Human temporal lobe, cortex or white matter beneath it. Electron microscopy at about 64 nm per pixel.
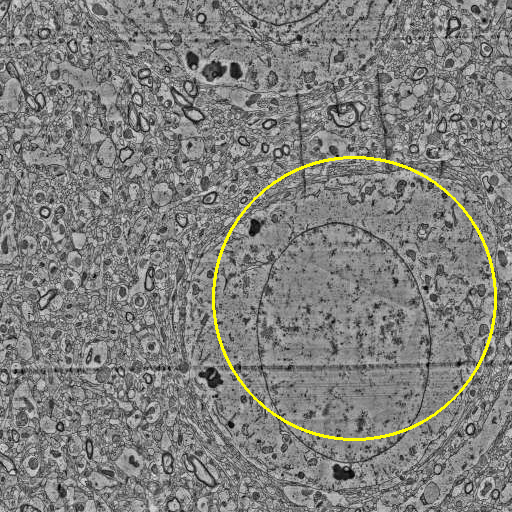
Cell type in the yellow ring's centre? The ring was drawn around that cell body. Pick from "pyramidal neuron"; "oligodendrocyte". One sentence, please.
The ringed cell body is that of a pyramidal neuron.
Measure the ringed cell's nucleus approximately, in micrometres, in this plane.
The ringed cell's nucleus is about 15 micrometres long and 11 micrometres wide in this plane.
